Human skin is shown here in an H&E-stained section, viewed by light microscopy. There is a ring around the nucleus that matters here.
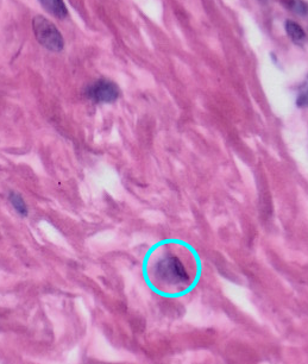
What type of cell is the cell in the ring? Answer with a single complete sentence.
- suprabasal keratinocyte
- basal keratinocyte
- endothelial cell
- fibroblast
So far as cell type goes, the cell in the ring is a fibroblast.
